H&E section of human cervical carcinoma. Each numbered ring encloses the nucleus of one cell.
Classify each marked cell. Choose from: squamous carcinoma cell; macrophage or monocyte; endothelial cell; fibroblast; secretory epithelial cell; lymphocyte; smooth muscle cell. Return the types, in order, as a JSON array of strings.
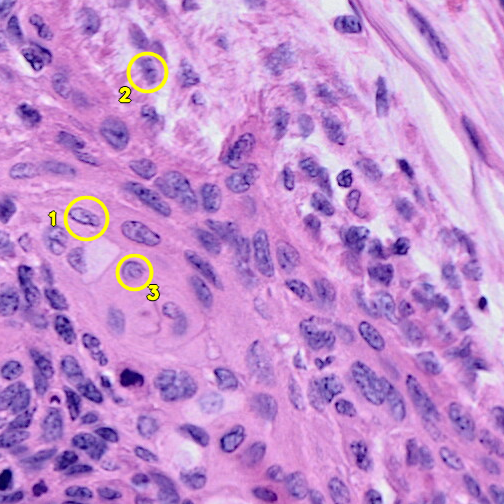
["squamous carcinoma cell", "fibroblast", "squamous carcinoma cell"]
